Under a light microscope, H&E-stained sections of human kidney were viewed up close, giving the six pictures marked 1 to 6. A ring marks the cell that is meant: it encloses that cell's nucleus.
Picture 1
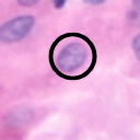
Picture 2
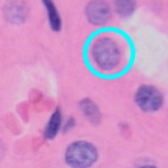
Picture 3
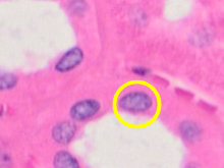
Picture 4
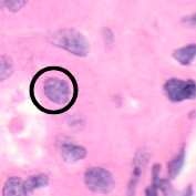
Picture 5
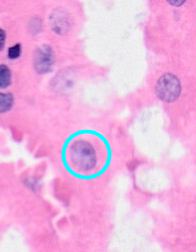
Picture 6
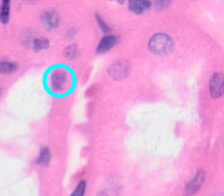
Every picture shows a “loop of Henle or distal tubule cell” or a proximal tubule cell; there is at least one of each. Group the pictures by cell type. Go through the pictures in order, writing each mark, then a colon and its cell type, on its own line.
1: proximal tubule cell
2: loop of Henle or distal tubule cell
3: loop of Henle or distal tubule cell
4: loop of Henle or distal tubule cell
5: proximal tubule cell
6: loop of Henle or distal tubule cell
